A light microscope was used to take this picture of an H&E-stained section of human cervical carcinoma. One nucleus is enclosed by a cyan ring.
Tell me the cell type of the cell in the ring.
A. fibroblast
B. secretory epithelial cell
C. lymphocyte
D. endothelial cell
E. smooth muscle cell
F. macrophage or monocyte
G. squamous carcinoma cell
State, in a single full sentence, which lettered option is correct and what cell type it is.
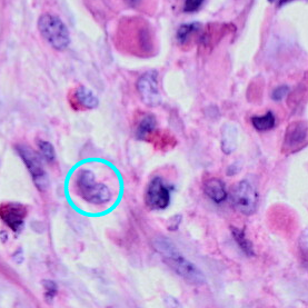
Option F is correct in stating that the cell in the ring is a macrophage or monocyte.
